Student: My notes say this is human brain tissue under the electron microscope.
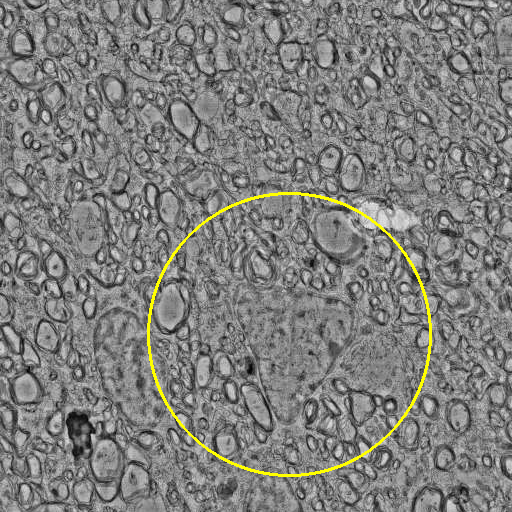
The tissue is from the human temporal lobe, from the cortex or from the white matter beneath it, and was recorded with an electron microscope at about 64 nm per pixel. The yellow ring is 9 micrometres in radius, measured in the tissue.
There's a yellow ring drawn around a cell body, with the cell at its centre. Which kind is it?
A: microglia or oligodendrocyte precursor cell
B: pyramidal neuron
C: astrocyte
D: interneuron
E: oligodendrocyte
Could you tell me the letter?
A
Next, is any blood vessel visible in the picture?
No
